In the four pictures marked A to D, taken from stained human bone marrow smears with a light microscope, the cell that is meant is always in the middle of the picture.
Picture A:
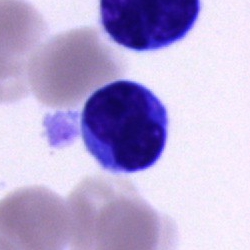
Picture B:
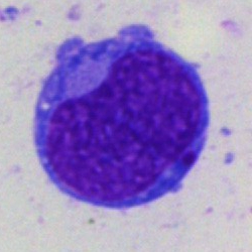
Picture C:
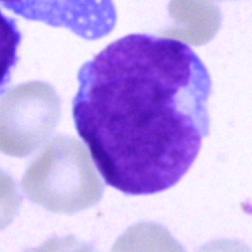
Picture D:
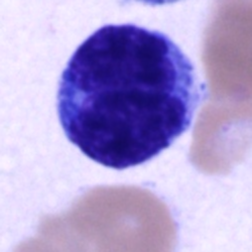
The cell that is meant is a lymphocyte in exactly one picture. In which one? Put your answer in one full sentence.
It is picture A that shows the lymphocyte.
